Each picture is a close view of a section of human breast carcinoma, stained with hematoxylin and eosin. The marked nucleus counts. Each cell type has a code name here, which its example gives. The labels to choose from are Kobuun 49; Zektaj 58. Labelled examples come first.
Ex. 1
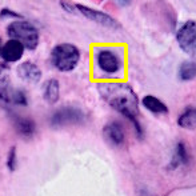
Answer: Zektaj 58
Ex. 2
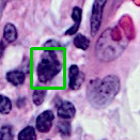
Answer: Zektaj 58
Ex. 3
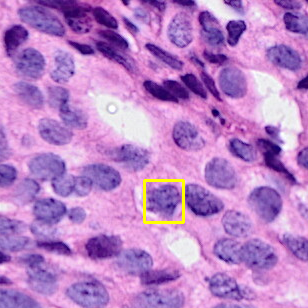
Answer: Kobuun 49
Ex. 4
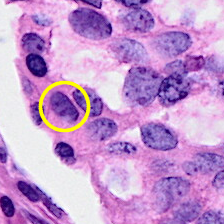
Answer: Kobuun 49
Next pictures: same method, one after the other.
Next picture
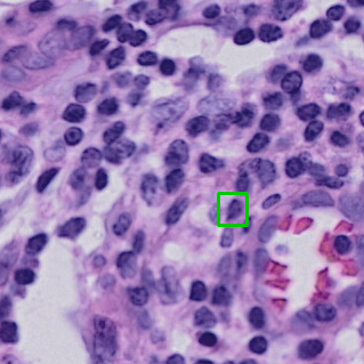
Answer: Zektaj 58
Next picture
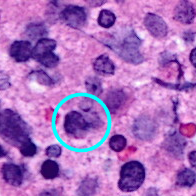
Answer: Kobuun 49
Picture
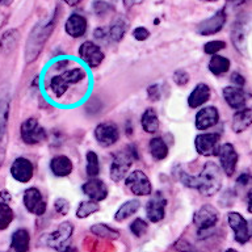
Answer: Zektaj 58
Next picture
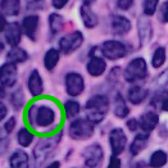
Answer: Zektaj 58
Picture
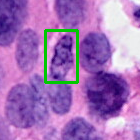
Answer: Kobuun 49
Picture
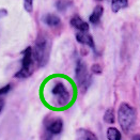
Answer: Zektaj 58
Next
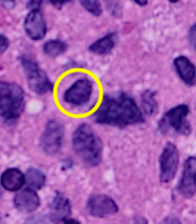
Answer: Kobuun 49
